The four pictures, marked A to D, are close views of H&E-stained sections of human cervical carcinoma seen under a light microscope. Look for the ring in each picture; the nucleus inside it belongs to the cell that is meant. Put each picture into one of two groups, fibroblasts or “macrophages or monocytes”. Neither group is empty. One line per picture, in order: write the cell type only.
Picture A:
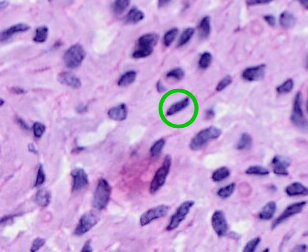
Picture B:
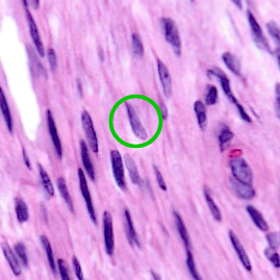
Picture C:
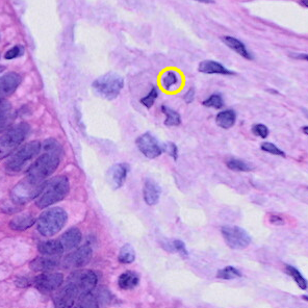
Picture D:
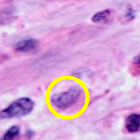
fibroblast
fibroblast
fibroblast
macrophage or monocyte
